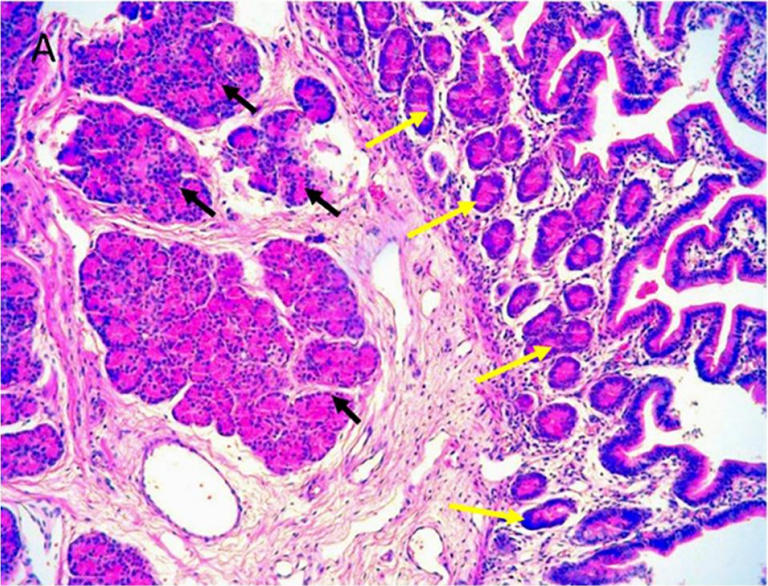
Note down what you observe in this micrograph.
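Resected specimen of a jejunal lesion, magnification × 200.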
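On the left lie several lobules of glandular tissue whose cells have deep pink granular cytoplasm and small dark basal nuclei, grouped into small rounded units. These lobules are wrapped and separated by pale pink, loose fibrous connective tissue containing a few thin-walled vessels. On the right lies intestinal mucosa, with finger-like villi lined by tall columnar epithelium with dark purple nuclei and, beneath them, round crypt profiles set in a cellular lamina propria. The glandular lobules sit right beside the intestinal wall, separated from the mucosa only by a band of connective tissue.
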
